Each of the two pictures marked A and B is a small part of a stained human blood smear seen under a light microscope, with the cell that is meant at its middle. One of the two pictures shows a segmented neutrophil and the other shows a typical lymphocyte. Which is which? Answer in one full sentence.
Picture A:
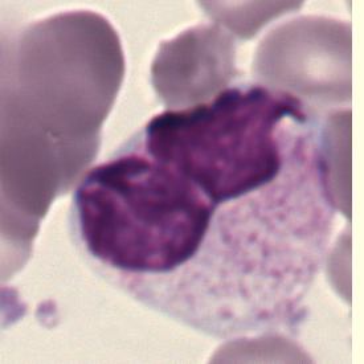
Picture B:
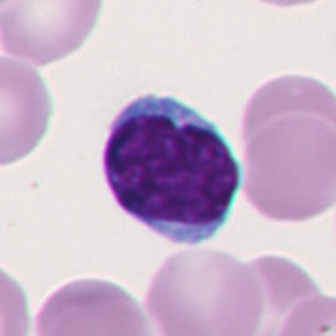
The cell in picture A is a segmented neutrophil, and the one in picture B is a typical lymphocyte.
